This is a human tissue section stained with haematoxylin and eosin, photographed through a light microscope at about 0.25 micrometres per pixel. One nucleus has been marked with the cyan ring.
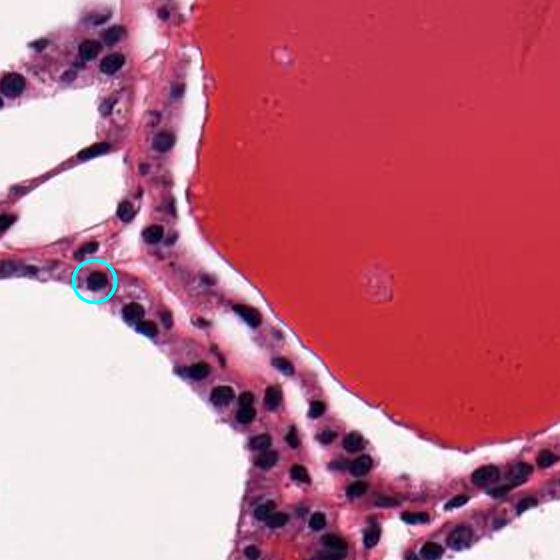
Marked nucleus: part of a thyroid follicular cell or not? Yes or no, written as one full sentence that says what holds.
Yes, the marked nucleus belongs to a thyroid follicular cell.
